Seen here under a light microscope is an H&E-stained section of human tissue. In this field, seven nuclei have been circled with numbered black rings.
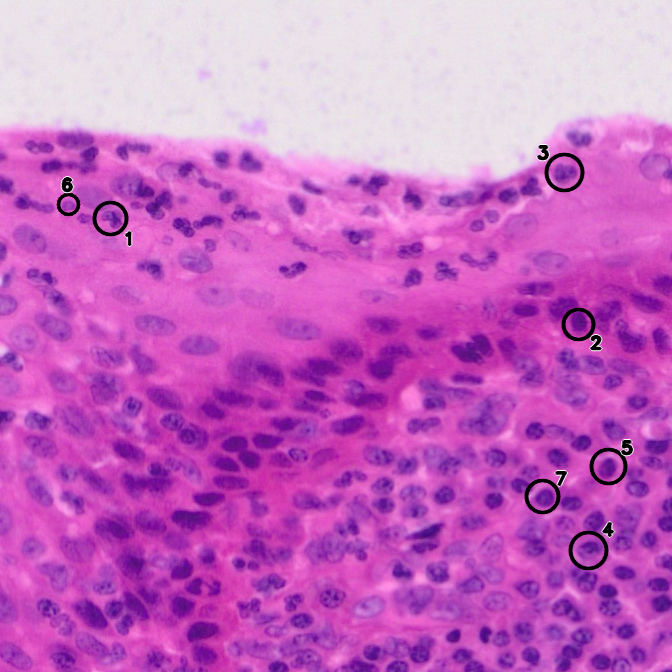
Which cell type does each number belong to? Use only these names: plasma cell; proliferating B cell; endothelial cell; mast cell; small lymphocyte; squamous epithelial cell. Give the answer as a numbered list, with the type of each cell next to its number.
1. squamous epithelial cell
2. squamous epithelial cell
3. squamous epithelial cell
4. plasma cell
5. plasma cell
6. squamous epithelial cell
7. plasma cell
